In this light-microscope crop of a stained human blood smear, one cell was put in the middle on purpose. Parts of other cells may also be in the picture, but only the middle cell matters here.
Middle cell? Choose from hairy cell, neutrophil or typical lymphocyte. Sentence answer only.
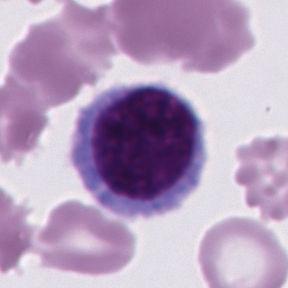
At the center of the crop sits a hairy cell.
